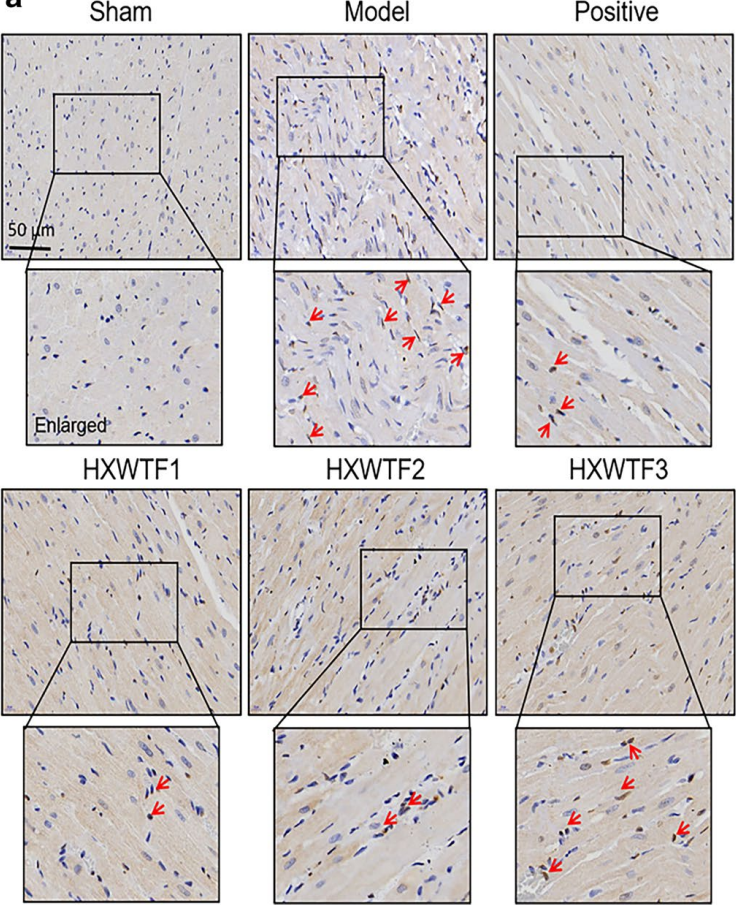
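These are sections of heart muscle in which cardiomyocytes run as long, parallel fibres with pale tan cytoplasm and elongated blue nuclei. In some fields the fibres are more disordered, and the brown nuclei are more numerous there.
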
